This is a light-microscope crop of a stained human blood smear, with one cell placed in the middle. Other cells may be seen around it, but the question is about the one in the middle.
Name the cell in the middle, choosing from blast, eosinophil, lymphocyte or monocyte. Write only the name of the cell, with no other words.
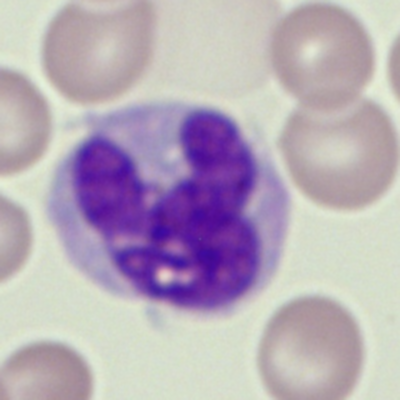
monocyte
